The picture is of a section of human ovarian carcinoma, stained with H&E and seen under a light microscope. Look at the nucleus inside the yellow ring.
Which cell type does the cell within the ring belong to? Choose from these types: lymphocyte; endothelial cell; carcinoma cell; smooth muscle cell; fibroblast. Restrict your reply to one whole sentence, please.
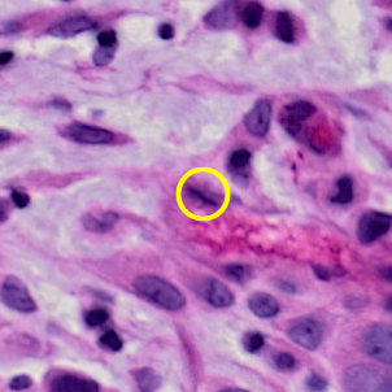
In cell-type terms, the cell within the ring is an endothelial cell.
